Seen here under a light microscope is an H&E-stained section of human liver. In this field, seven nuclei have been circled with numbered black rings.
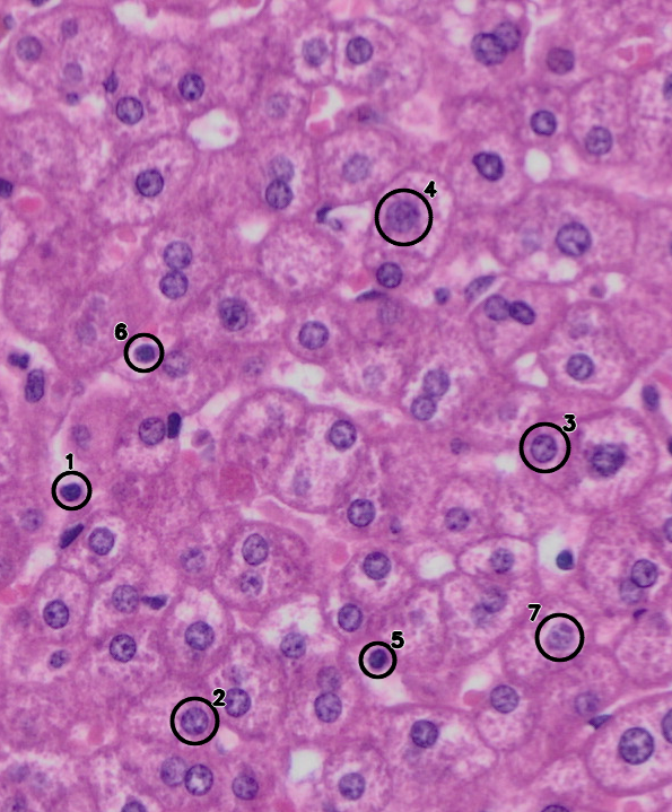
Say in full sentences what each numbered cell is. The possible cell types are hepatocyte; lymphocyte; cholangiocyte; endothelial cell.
Cells 1, 5 and 6 are lymphocytes. Cells 2, 3, 4 and 7 are hepatocytes.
